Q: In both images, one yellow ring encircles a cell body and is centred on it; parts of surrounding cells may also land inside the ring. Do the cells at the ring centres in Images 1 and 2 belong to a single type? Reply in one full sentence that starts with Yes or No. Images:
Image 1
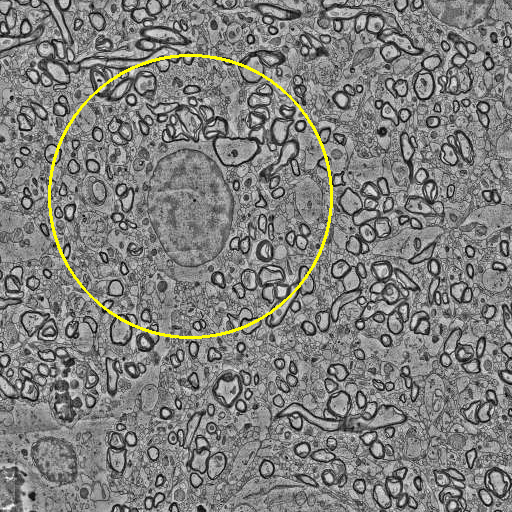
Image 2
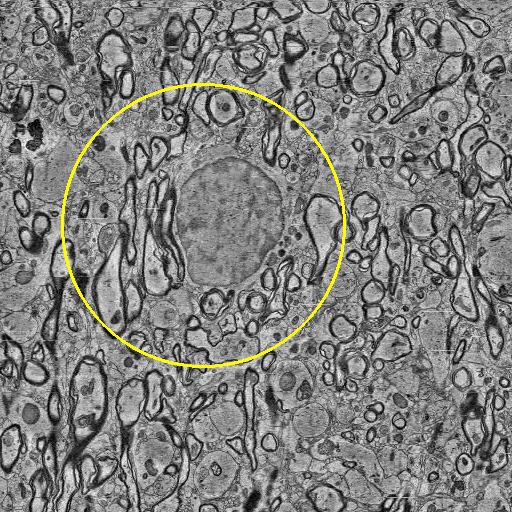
Yes, the cells at the ring centres in Images 1 and 2 are of a single type.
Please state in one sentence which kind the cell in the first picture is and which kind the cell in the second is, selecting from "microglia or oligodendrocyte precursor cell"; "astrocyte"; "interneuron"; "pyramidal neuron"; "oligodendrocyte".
The first and the second cell are each an oligodendrocyte.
